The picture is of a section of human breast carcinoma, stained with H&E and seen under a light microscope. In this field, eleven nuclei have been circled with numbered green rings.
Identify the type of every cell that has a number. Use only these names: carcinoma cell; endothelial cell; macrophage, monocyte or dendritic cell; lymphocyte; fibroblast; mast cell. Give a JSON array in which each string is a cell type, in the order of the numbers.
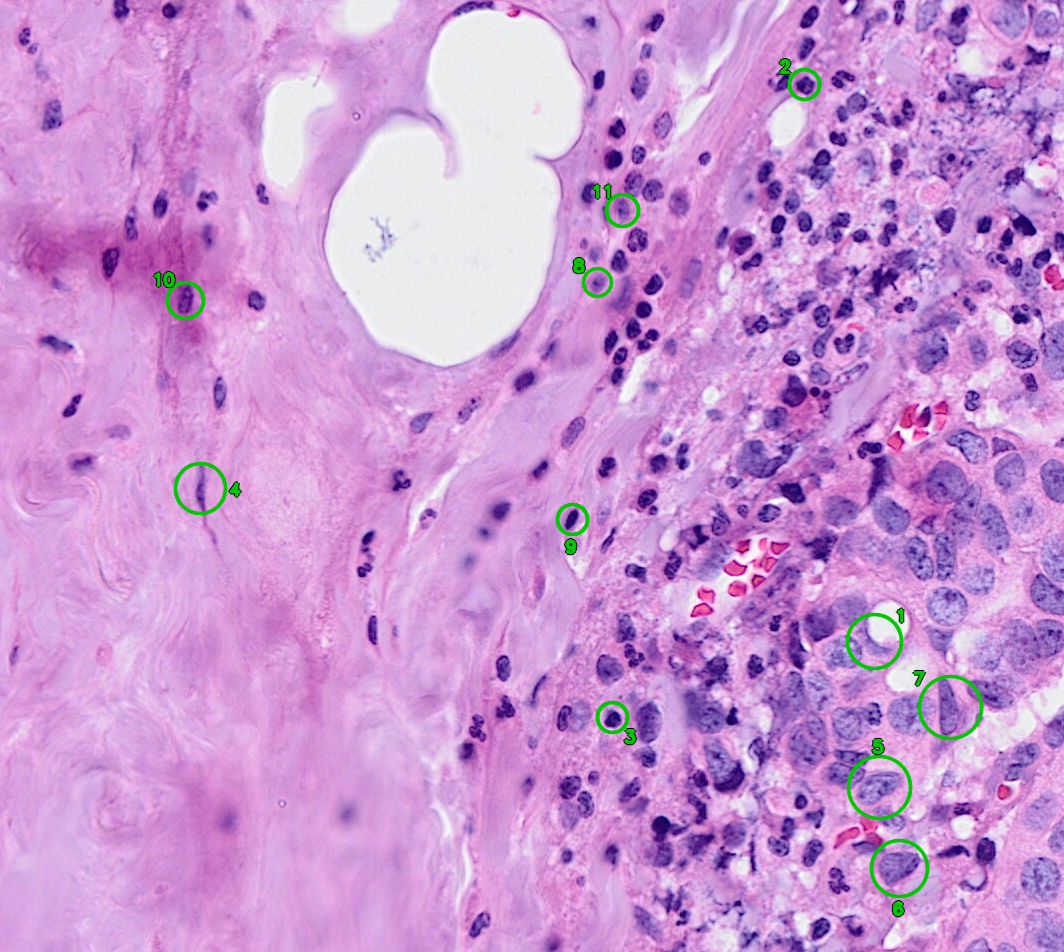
["carcinoma cell", "lymphocyte", "lymphocyte", "fibroblast", "carcinoma cell", "carcinoma cell", "carcinoma cell", "mast cell", "lymphocyte", "fibroblast", "mast cell"]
